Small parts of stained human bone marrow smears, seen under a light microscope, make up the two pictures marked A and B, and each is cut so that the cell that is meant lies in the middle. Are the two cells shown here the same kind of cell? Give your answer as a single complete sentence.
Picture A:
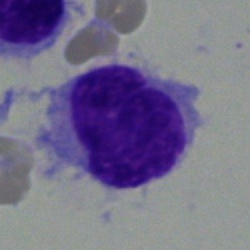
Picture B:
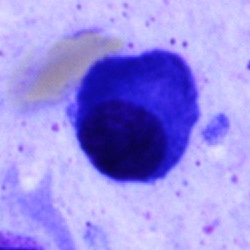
No, picture A shows a hairy cell and picture B shows a plasma cell.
